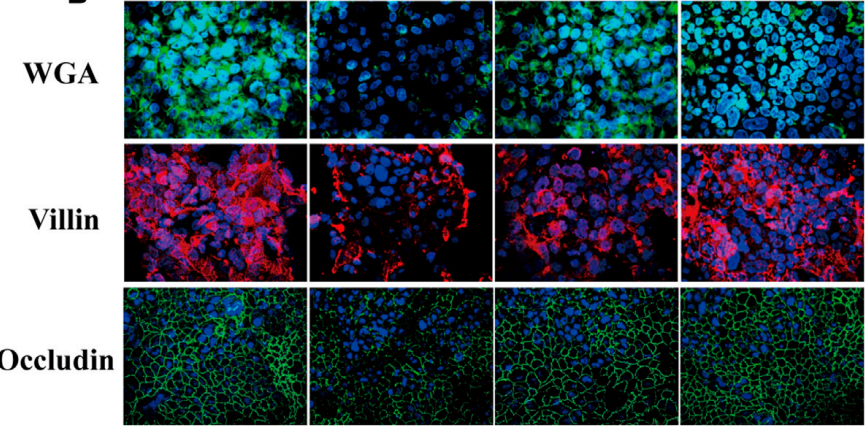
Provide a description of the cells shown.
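A grid of twelve fluorescence images shows a dense layer of epithelial cells. Their round-to-oval blue nuclei are tightly packed. In the top row, a patchy green coat lies over the cells. In the middle row, red staining forms irregular clumps and bands among the nuclei. It is abundant in the first and fourth columns and scanty in the second. In the bottom row, thin green lines outline each cell as a polygon, making a honeycomb of cell borders across the sheet.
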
